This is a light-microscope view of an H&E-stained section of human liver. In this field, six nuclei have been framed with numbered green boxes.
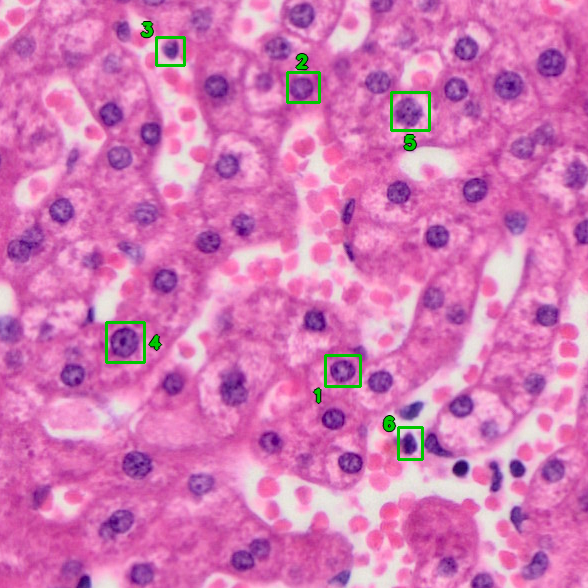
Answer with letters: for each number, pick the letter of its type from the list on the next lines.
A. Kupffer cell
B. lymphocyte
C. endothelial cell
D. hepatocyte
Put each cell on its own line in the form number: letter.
1: D
2: D
3: B
4: D
5: D
6: B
